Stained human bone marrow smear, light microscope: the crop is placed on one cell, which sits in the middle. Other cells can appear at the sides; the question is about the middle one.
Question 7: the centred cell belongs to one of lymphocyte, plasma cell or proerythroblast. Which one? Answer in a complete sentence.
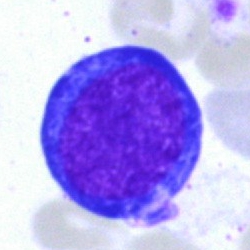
Of the cells in this crop, the central one is a proerythroblast.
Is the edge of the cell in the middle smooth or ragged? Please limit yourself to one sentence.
Irregularity marks the cell border, whether as raggedness or as projections.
